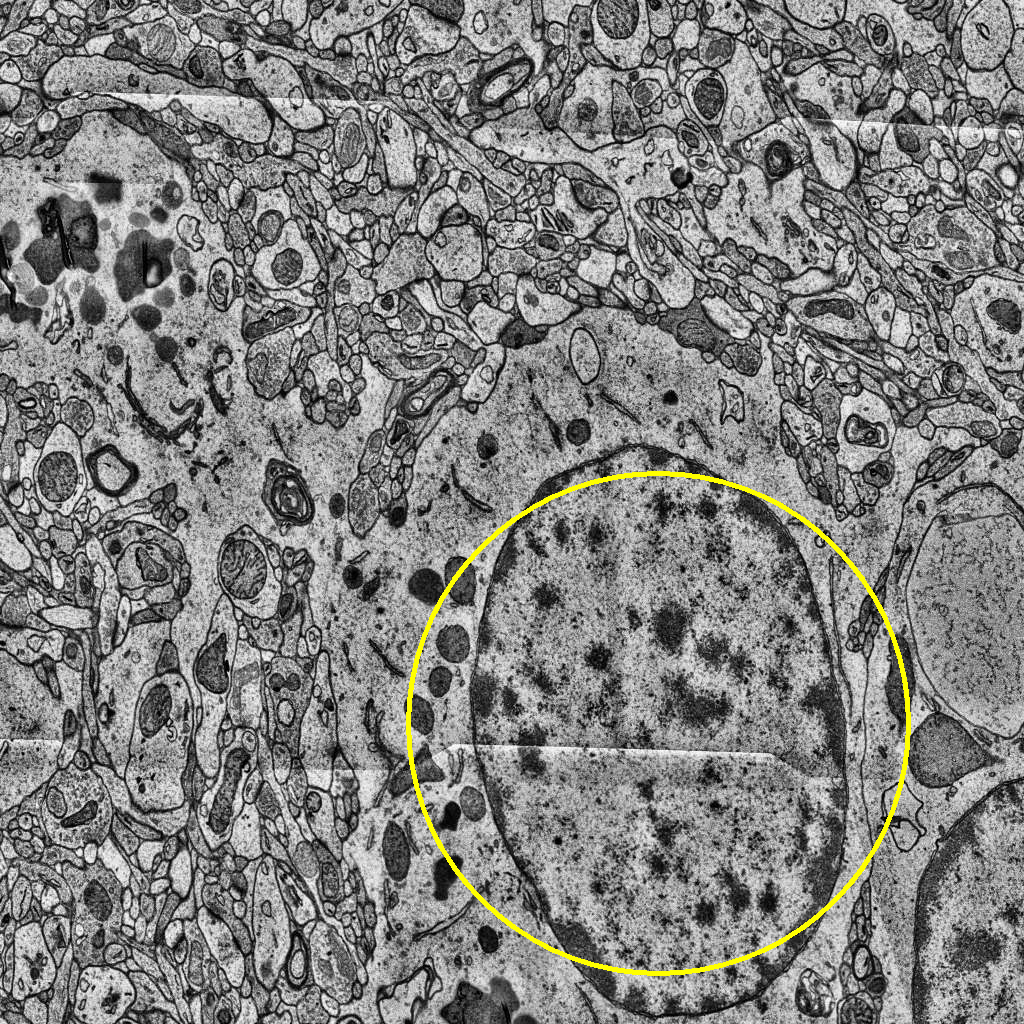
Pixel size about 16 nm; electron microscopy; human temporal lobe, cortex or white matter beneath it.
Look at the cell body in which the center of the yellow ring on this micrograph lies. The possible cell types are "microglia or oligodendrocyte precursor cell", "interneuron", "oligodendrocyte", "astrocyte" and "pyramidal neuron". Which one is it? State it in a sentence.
The cell at the middle of the ring is an astrocyte.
